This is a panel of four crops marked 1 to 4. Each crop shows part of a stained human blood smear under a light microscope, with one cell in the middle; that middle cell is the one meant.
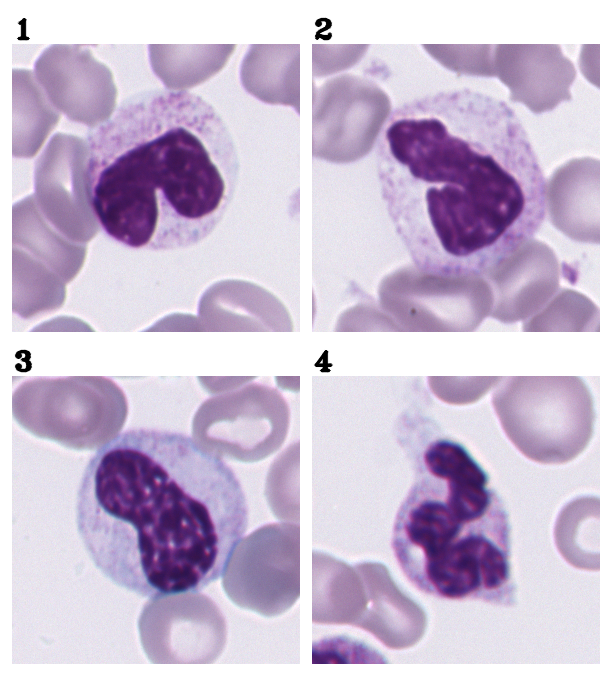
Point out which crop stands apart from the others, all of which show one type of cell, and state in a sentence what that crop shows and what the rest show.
Among these crops, band neutrophils occur in all but crop 4, which contains a segmented neutrophil.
